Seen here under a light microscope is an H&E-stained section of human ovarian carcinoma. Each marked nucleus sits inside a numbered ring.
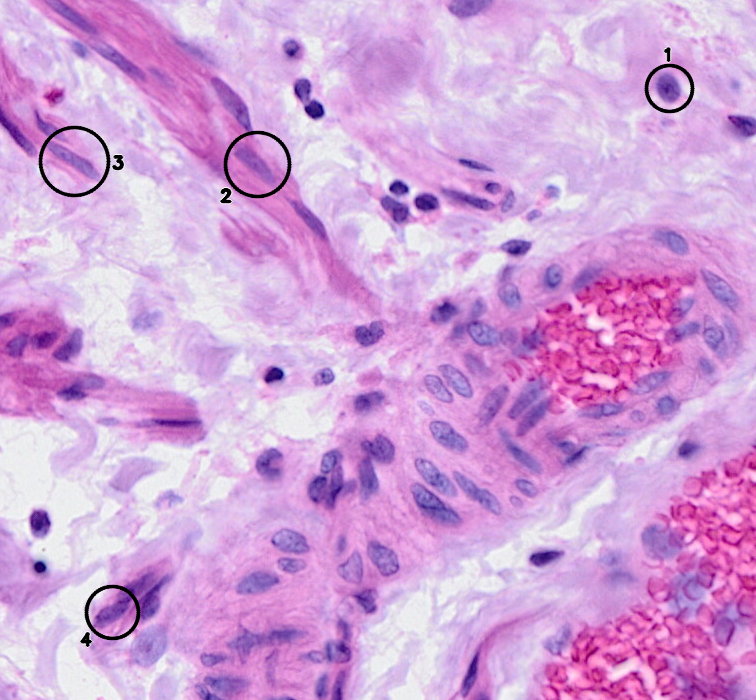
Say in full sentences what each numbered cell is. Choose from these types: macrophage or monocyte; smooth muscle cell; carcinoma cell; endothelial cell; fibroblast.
Cell 1 is a fibroblast. Cells 2 and 3 are smooth muscle cells. Cell 4 is an endothelial cell.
